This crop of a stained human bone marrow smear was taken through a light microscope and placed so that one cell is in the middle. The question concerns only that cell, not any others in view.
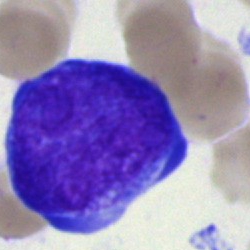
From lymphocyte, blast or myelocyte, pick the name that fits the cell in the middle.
blast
